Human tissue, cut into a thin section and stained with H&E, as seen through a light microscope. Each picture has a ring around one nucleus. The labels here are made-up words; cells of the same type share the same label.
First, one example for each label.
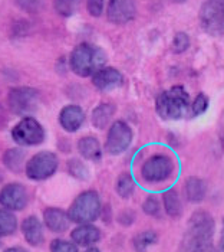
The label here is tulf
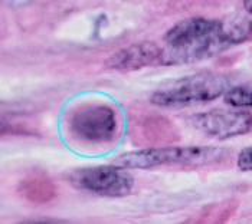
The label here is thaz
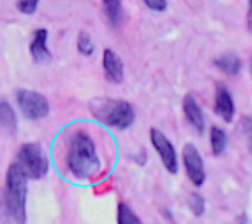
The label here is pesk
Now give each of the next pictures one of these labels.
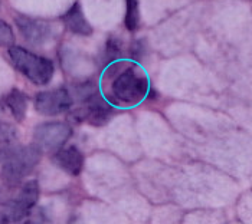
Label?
tulf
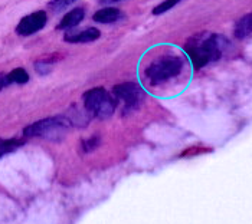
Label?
tulf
